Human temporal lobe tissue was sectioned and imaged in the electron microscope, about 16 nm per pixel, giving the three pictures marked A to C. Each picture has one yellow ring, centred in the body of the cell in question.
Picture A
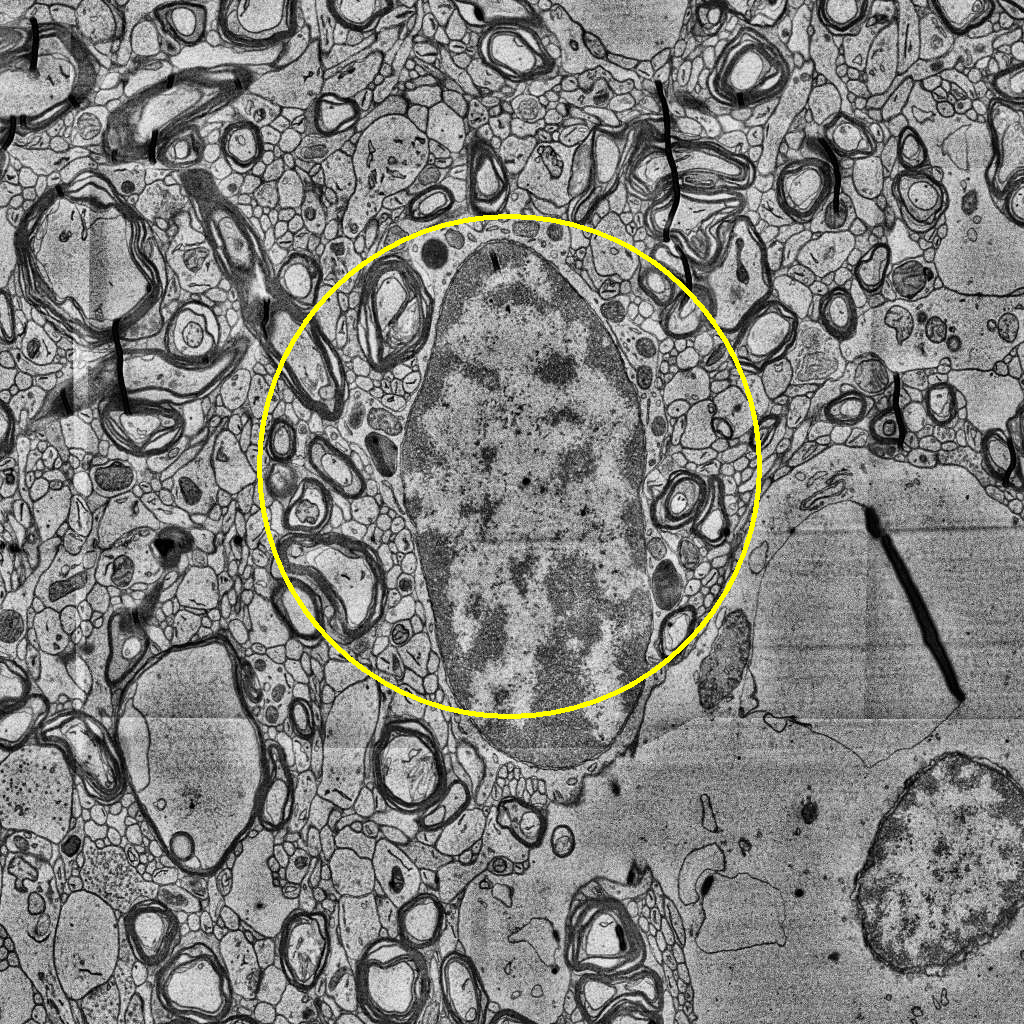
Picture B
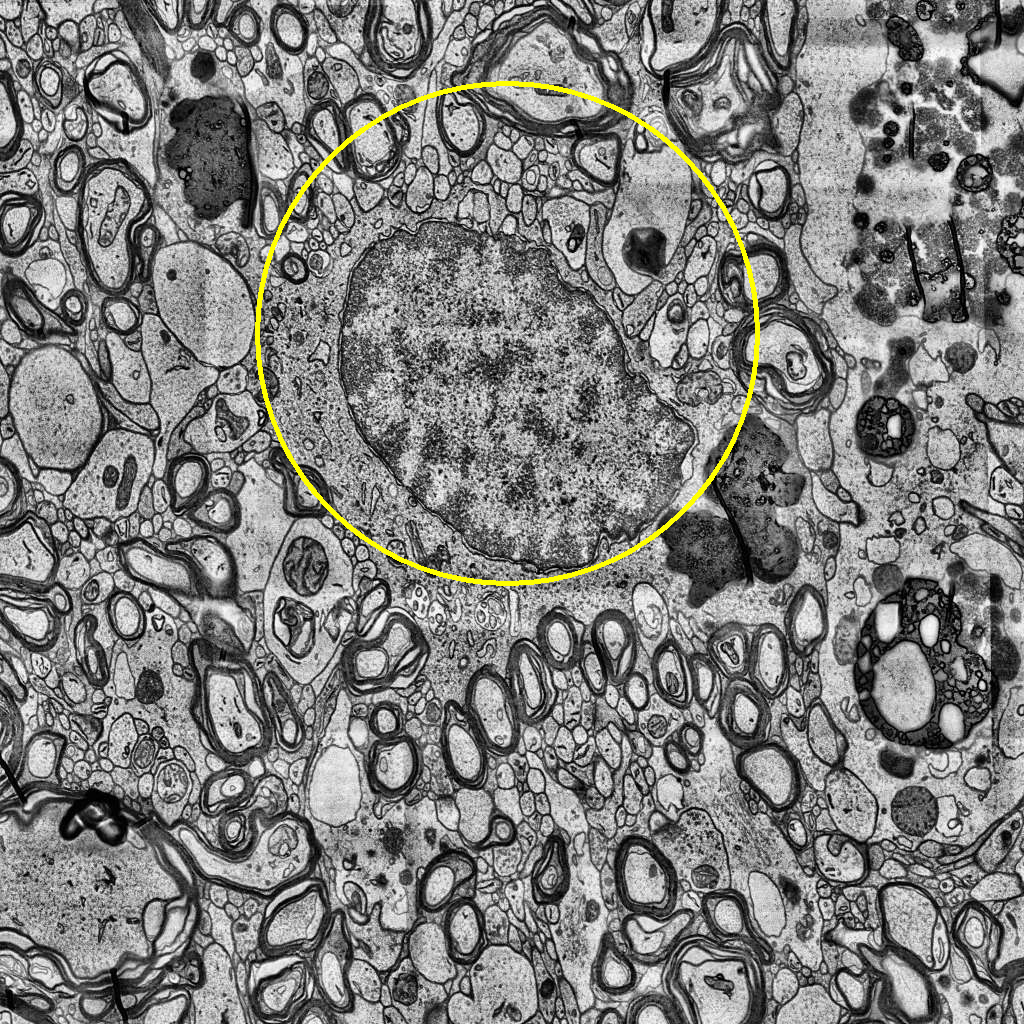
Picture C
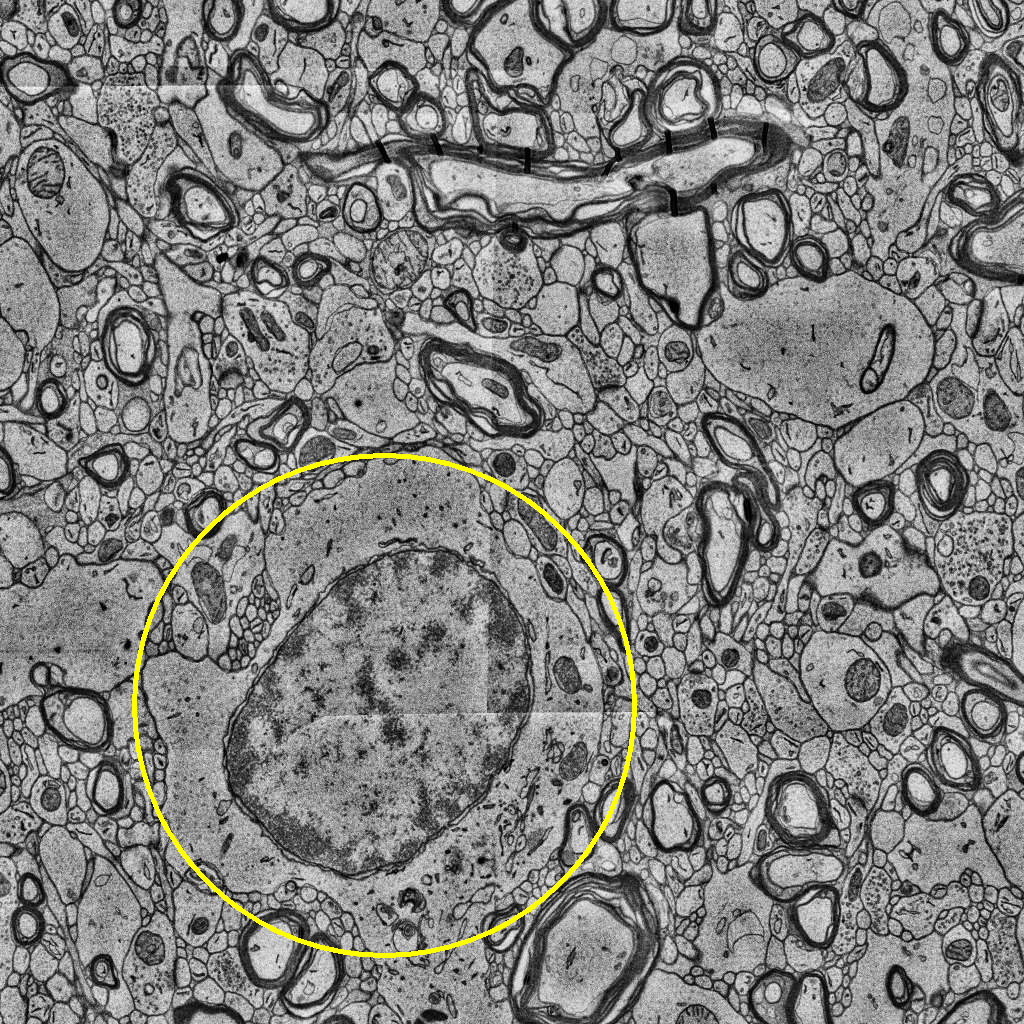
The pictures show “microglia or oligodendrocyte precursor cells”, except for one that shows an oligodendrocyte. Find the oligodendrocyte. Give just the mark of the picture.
B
